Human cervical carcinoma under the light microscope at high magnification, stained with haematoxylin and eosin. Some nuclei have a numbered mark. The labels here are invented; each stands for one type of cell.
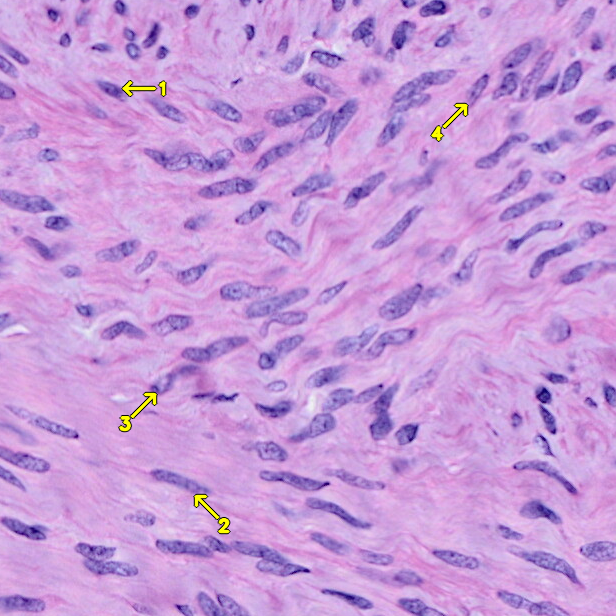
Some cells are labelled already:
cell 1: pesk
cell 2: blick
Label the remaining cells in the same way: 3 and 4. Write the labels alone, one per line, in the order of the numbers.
pesk
pesk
